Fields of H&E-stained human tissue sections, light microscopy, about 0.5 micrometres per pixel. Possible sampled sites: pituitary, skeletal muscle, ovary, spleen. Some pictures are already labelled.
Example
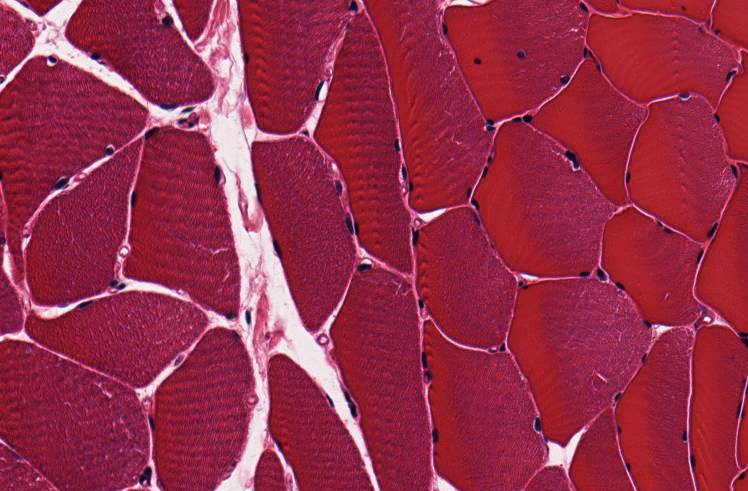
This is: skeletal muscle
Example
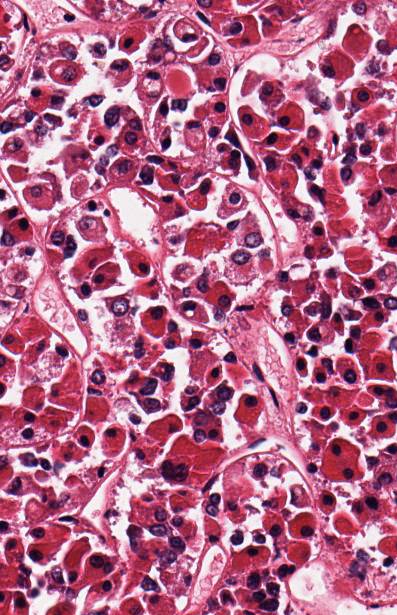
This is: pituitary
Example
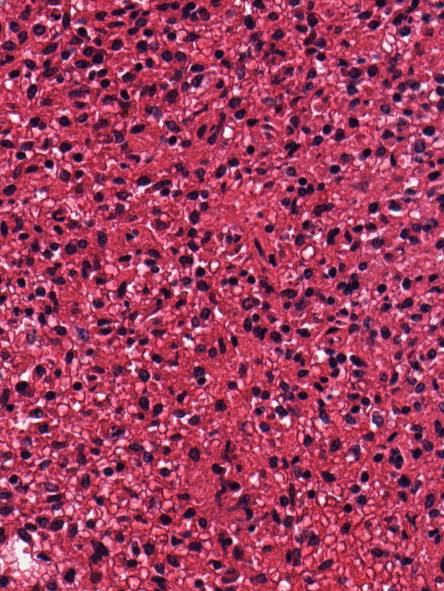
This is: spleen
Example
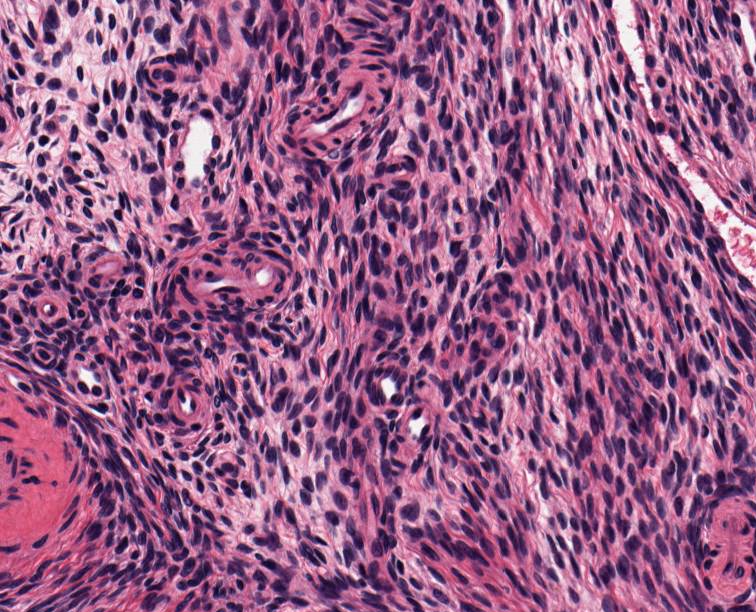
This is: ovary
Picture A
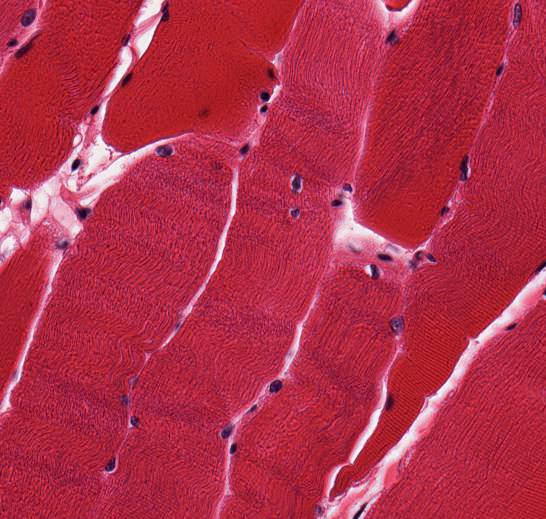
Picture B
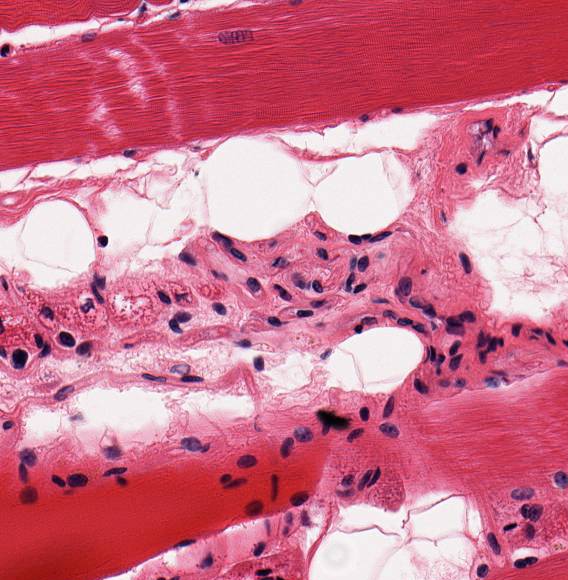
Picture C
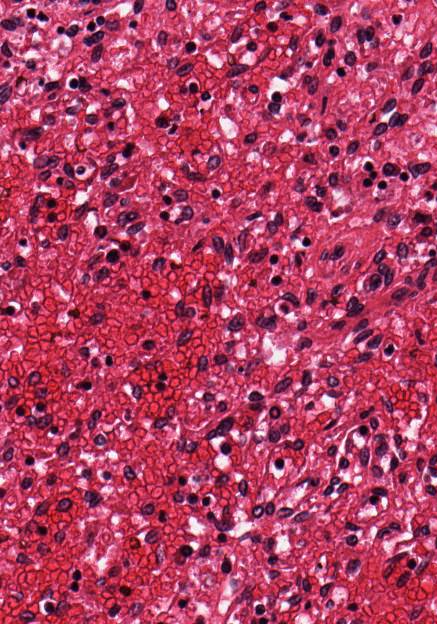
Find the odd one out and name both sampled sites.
C differs and shows spleen; the others show skeletal muscle.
